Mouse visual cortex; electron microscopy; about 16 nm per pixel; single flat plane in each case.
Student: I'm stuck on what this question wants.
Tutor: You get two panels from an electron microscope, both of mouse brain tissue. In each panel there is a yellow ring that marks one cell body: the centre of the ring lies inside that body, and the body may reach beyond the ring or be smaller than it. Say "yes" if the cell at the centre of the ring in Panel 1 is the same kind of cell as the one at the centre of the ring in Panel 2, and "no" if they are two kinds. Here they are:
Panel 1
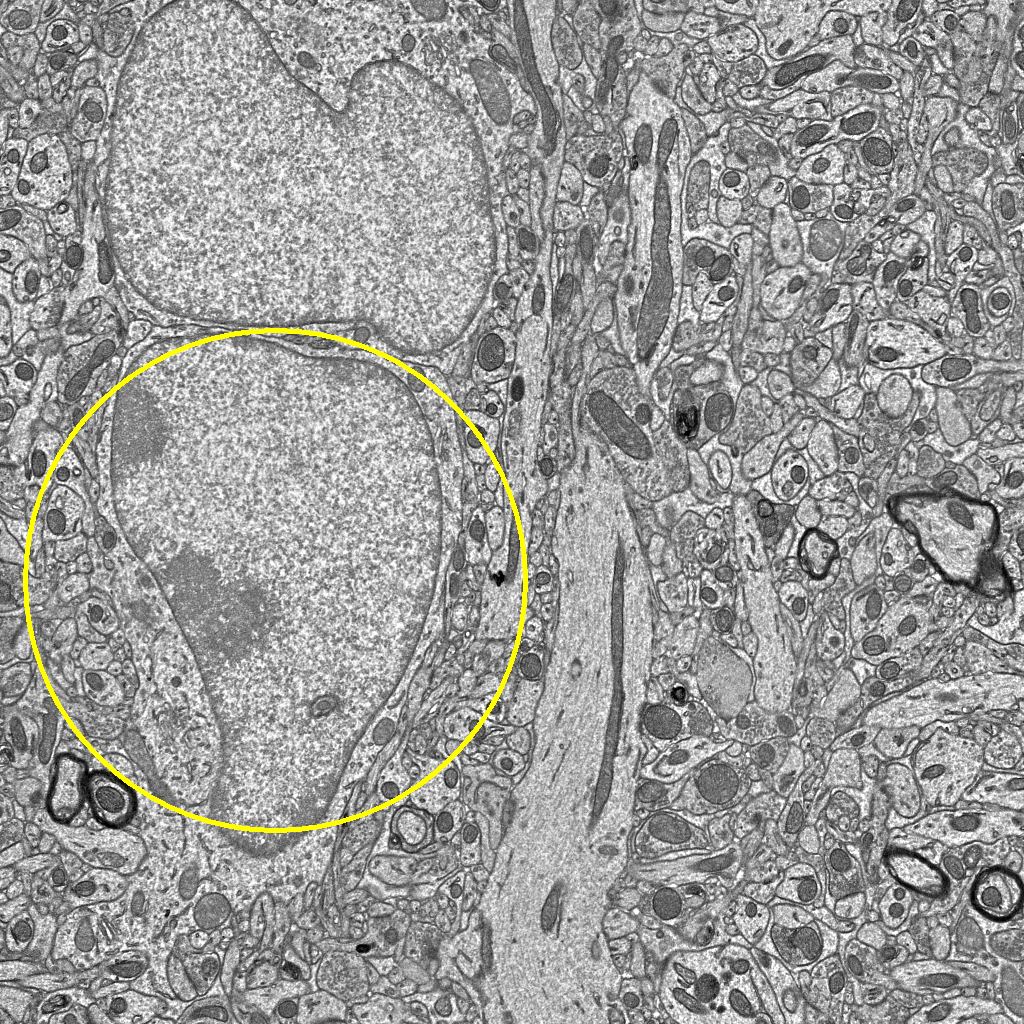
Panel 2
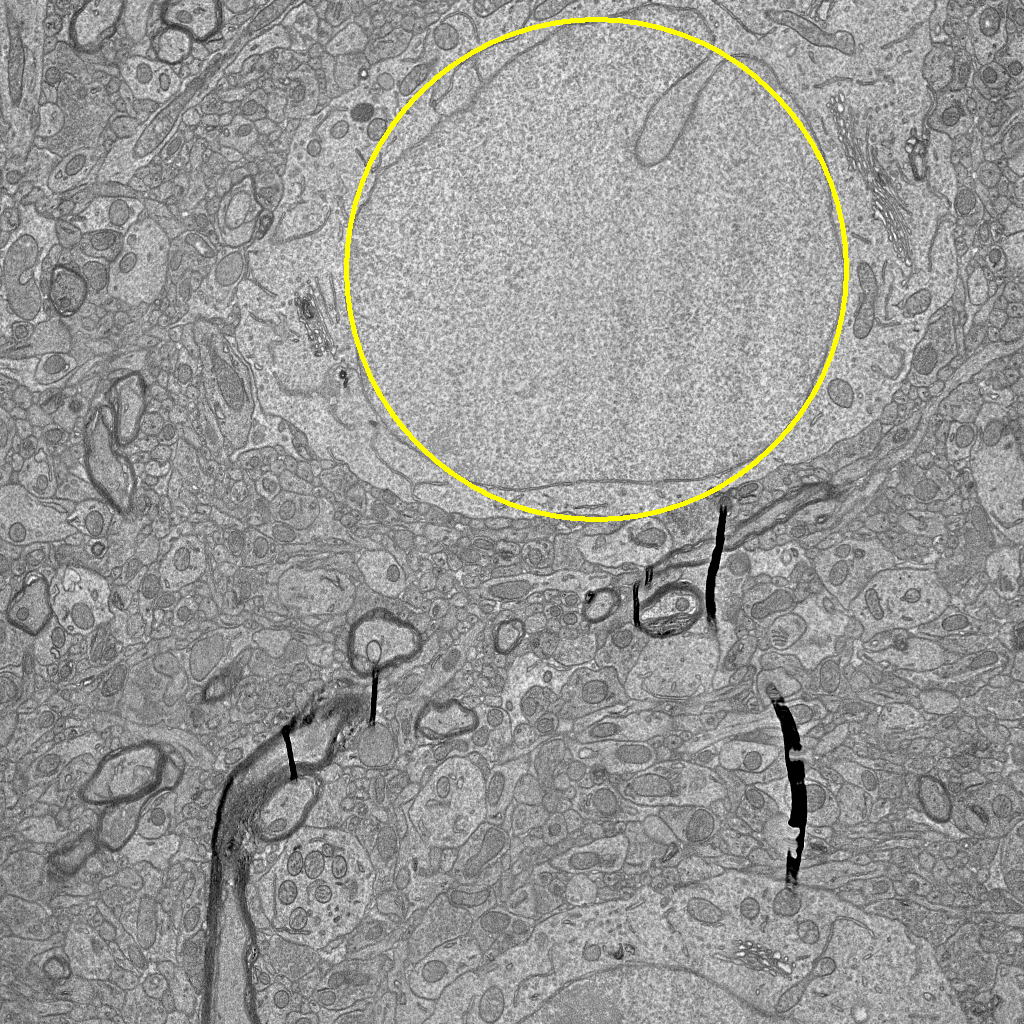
no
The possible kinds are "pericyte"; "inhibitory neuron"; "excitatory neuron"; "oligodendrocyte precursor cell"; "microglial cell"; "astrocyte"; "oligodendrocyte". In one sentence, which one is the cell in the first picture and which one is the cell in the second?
The first picture's cell is an astrocyte, and the second picture's cell is an excitatory neuron.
